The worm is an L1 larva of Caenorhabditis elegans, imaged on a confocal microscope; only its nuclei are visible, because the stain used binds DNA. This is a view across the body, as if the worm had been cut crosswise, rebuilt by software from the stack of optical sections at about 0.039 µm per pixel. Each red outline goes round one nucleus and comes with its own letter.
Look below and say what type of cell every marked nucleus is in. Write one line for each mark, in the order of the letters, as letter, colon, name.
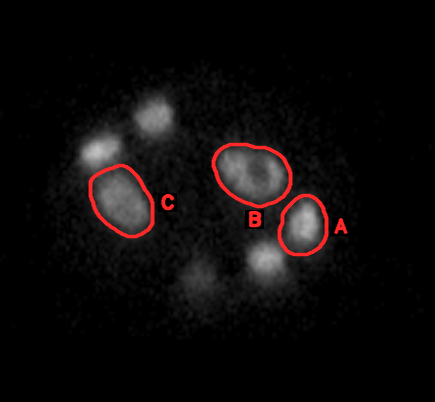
A: body wall muscle cell
B: intestinal cell
C: intestinal cell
